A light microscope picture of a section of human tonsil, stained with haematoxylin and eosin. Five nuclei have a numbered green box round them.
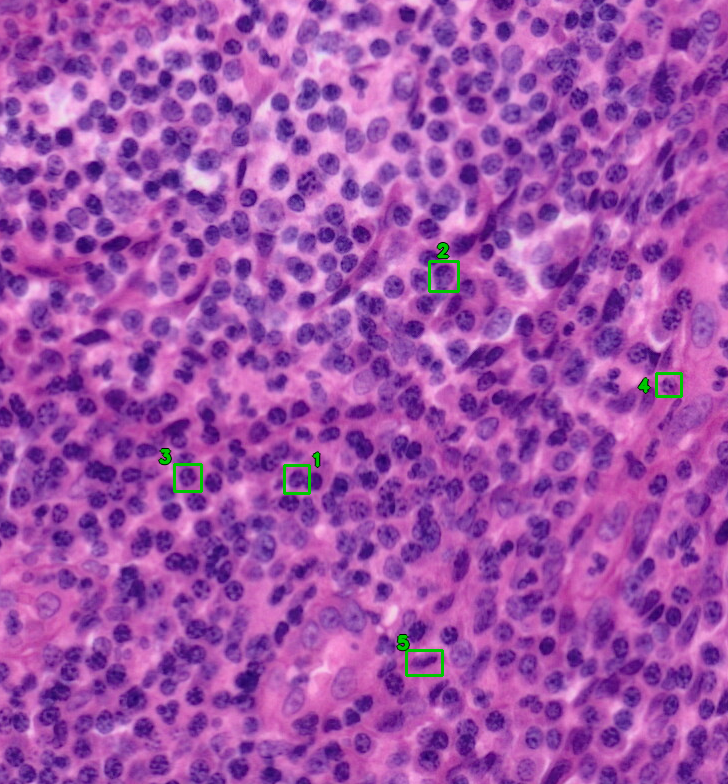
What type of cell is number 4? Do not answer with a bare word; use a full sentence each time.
The cell with the number 4 is a squamous epithelial cell.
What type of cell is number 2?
The cell marked with the number 2 is a plasma cell.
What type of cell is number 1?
In this section, the cell tagged 1 is a plasma cell.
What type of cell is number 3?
Number 3 among the marked cells is a plasma cell.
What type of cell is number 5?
Cell 5, as marked in the section, is a squamous epithelial cell.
